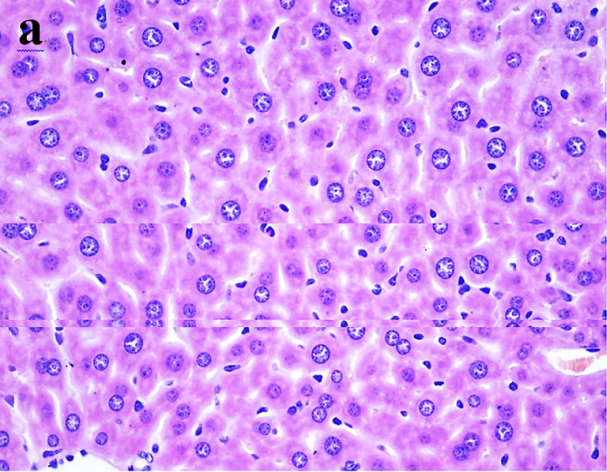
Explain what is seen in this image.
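This is liver tissue with hepatocytes arranged in cords that run across the field. Between the cords lie narrow pale sinusoids, along which small dark elongated nuclei of lining cells can be seen. The cytoplasm is uniform, without clear spaces, and the cells are of similar size throughout.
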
